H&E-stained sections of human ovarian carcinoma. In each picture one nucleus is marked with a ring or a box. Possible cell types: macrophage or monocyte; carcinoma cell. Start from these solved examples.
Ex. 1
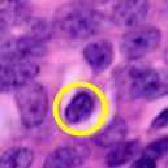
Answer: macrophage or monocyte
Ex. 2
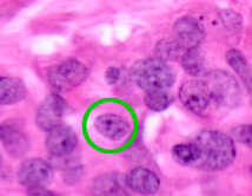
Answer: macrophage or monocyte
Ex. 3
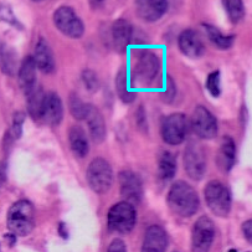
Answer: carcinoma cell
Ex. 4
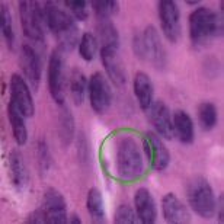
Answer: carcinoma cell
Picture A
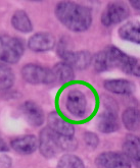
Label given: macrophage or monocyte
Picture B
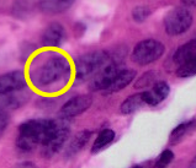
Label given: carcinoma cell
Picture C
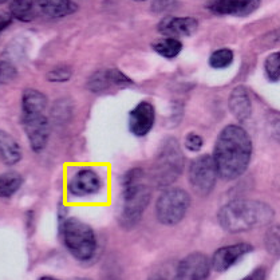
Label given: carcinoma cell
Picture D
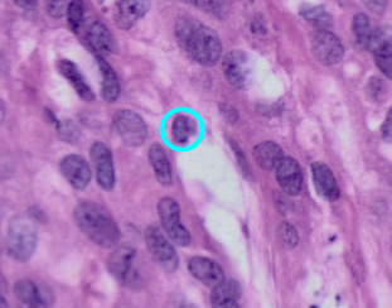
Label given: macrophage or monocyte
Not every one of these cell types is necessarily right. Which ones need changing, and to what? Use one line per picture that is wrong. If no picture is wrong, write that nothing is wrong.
C: change carcinoma cell to macrophage or monocyte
